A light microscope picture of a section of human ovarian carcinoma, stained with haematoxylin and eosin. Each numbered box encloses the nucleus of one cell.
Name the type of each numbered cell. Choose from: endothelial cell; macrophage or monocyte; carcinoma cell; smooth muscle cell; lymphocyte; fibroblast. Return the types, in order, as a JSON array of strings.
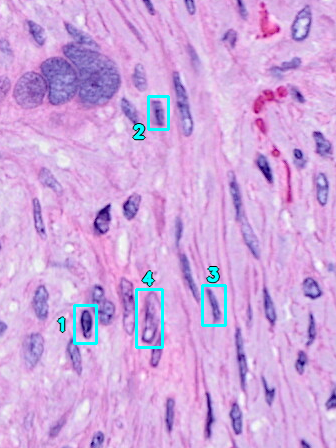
["lymphocyte", "fibroblast", "fibroblast", "fibroblast"]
